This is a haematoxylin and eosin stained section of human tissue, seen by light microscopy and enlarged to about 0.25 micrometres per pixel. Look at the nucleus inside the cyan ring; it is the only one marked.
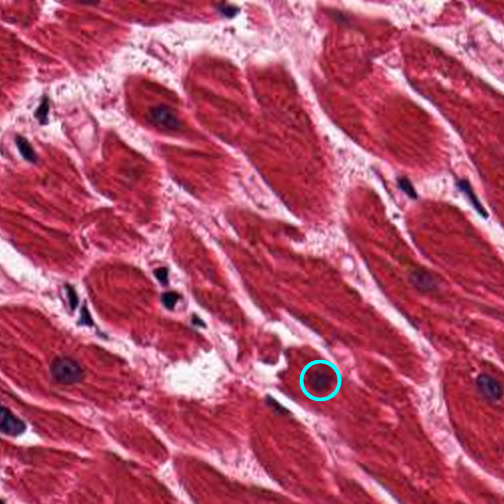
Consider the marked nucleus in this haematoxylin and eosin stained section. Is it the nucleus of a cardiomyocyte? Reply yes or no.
yes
